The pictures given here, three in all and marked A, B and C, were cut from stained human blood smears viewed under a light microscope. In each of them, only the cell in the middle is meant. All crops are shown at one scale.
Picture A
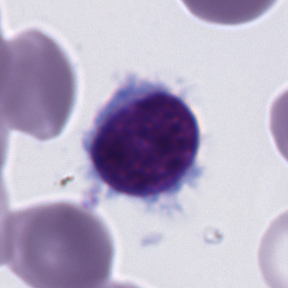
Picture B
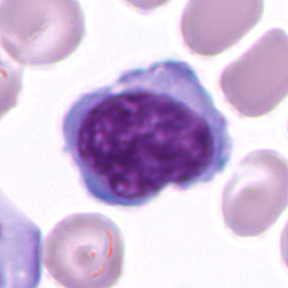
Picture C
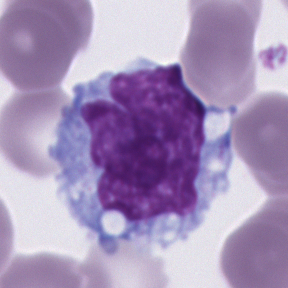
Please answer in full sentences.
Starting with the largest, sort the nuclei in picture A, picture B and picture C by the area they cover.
From the largest down, the order is C, B, A.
